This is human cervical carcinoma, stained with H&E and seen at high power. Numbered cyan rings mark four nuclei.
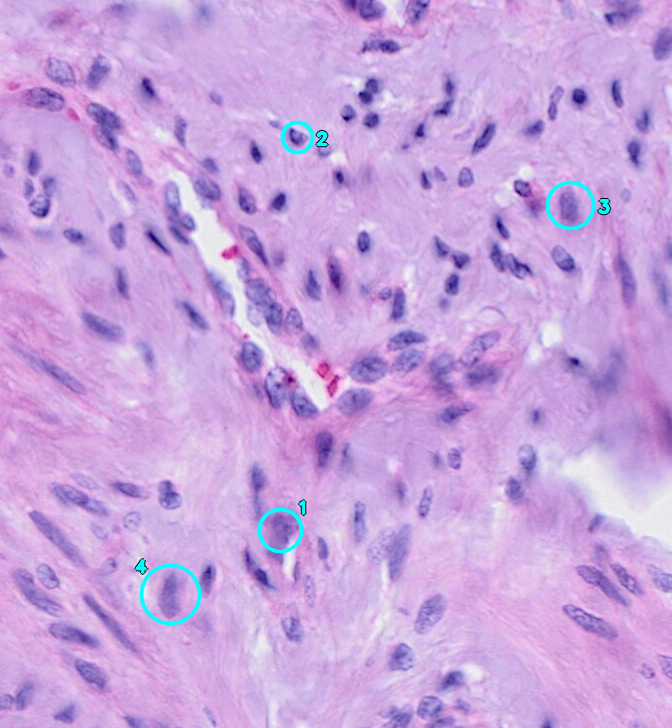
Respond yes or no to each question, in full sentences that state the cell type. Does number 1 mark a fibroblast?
No, rather than a fibroblast, cell number 1 is an endothelial cell.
